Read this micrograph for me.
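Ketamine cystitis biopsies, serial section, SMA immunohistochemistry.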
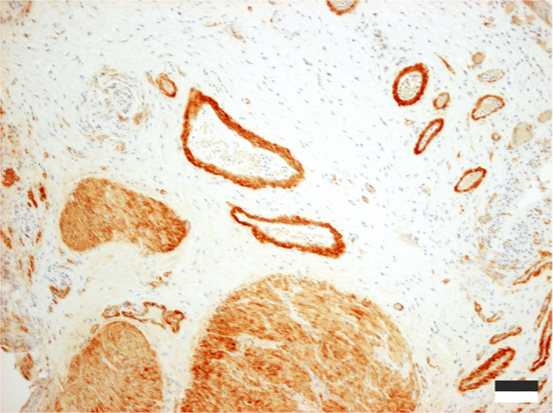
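Bladder wall with prominent blood vessels whose walls are stained brown. Many vessels of varied size are scattered through pale connective tissue, each outlined by a continuous brown ring around an open lumen, some lumens holding cells. Large, solidly brown bundles of packed spindle-shaped cells occupy the lower left. The intervening stroma is largely unstained, with scattered small blue nuclei and a few pale, unstained cellular bundles.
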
